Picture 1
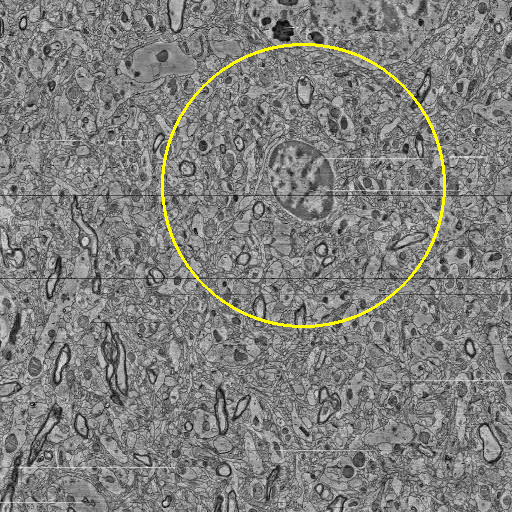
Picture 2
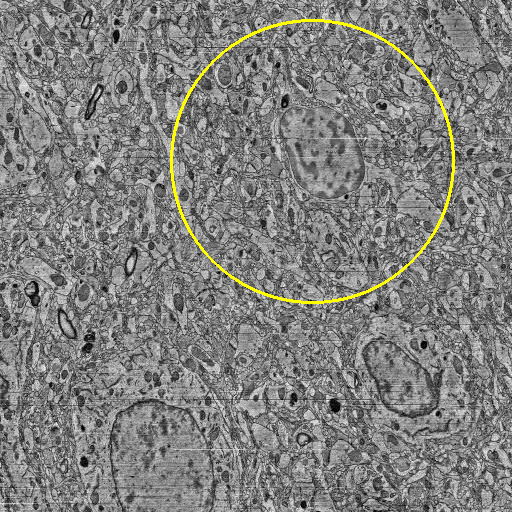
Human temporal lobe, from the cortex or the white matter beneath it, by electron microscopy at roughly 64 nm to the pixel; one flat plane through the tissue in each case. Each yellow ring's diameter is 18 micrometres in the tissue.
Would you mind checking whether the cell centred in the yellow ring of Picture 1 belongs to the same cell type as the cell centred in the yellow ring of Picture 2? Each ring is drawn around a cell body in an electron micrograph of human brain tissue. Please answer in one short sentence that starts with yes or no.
Yes, both cells are of the same type.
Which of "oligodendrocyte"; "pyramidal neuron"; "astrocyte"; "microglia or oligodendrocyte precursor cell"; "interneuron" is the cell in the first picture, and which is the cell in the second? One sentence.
Each of the two rings is centred on a microglial cell or oligodendrocyte precursor cell.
